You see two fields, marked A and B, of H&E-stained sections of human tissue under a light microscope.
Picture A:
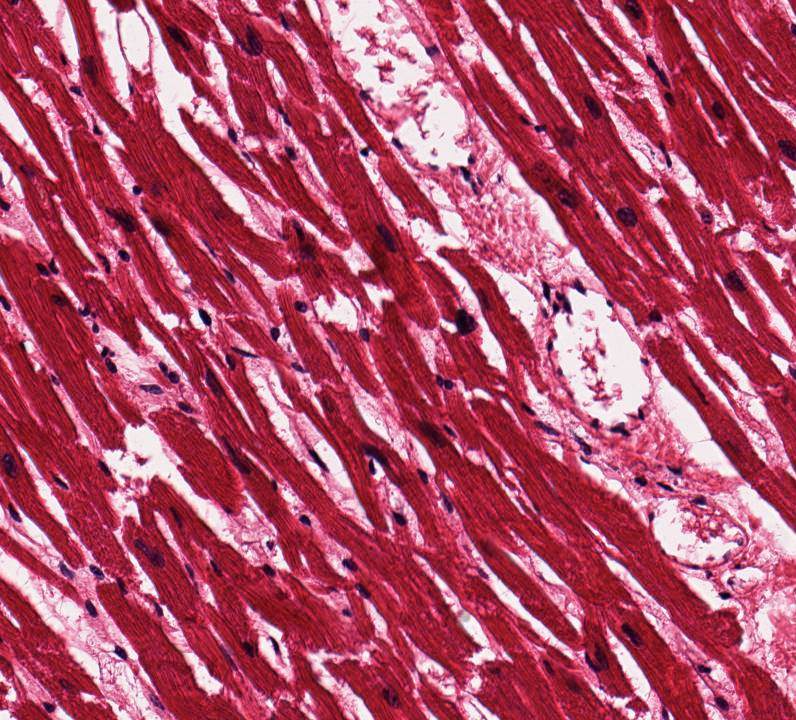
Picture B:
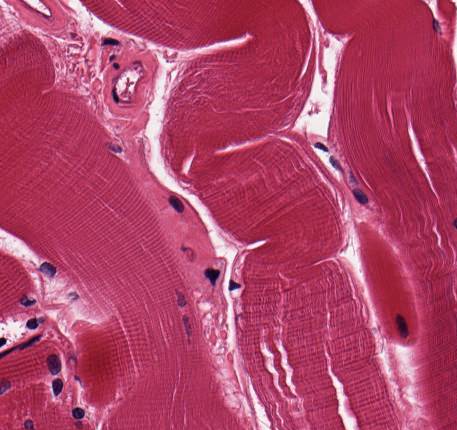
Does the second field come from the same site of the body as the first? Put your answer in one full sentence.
No. Picture A comes from the left ventricle of the heart, whereas picture B comes from skeletal muscle.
